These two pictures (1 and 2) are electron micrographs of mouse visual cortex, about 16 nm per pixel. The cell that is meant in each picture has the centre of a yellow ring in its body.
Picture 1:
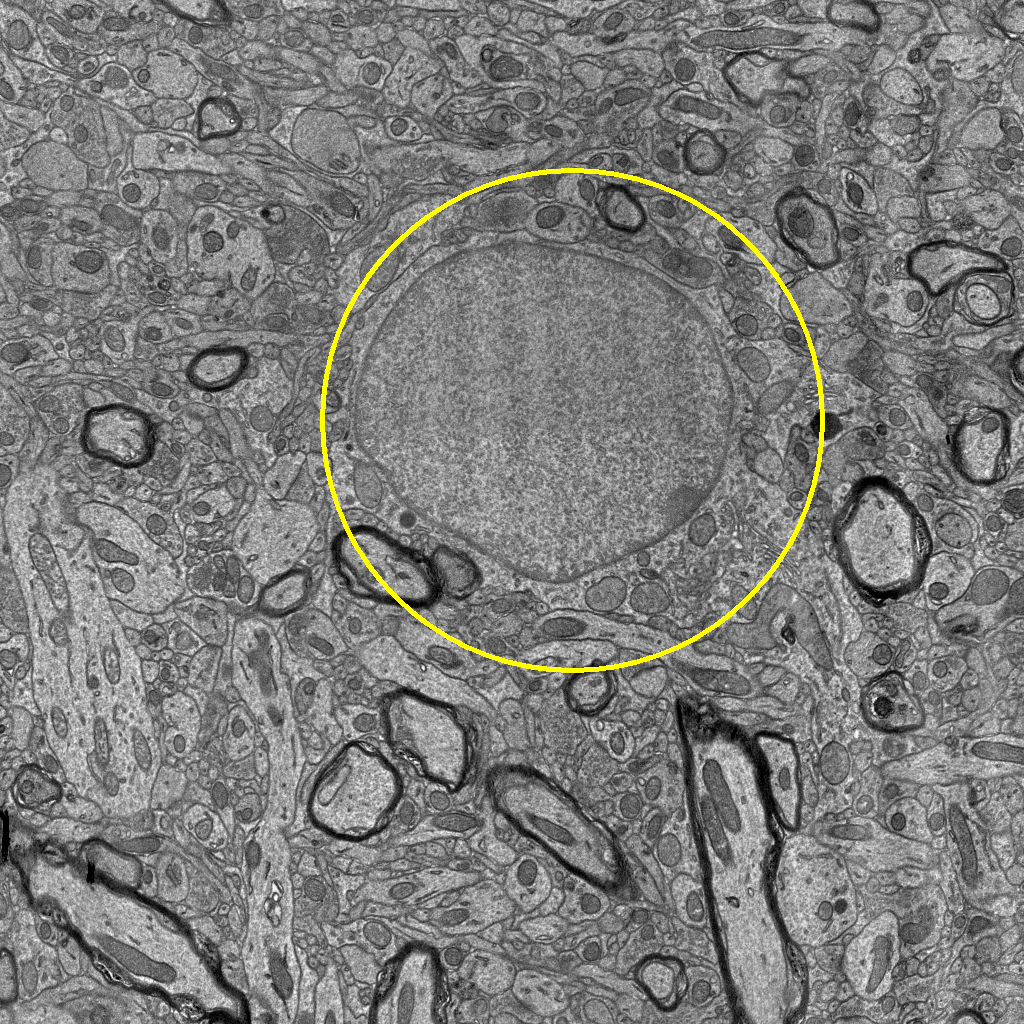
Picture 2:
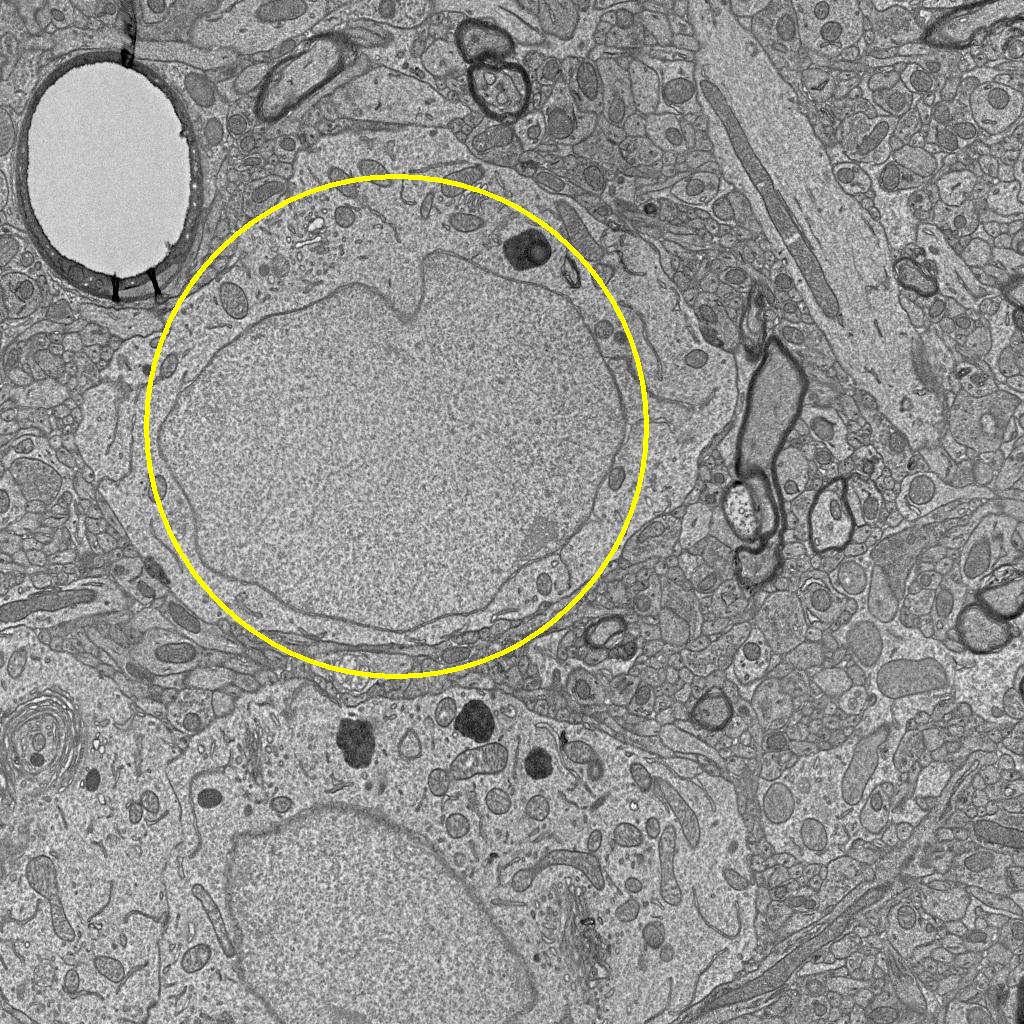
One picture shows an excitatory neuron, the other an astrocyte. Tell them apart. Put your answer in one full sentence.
In picture 1 the cell is an astrocyte; in picture 2, an excitatory neuron.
